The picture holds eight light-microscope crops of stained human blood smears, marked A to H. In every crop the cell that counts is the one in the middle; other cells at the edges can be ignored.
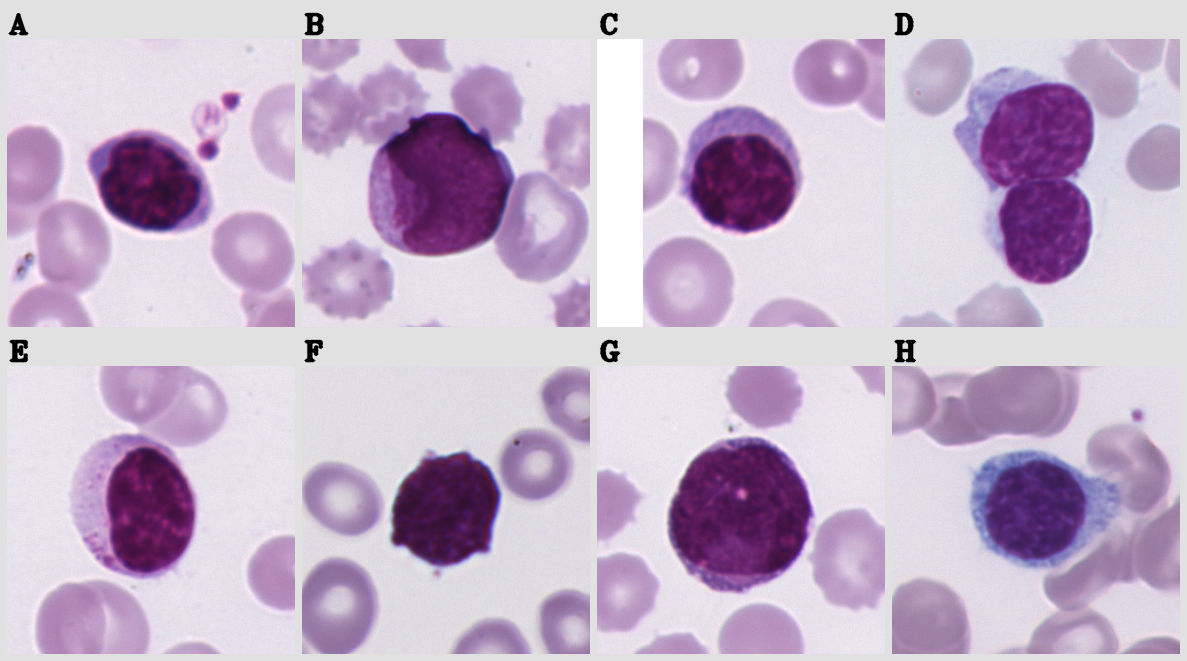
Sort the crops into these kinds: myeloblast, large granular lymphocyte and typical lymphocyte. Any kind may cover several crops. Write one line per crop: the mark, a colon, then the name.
A: typical lymphocyte
B: myeloblast
C: typical lymphocyte
D: myeloblast
E: large granular lymphocyte
F: myeloblast
G: myeloblast
H: typical lymphocyte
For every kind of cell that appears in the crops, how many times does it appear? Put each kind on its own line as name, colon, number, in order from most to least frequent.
myeloblast: 4
typical lymphocyte: 3
large granular lymphocyte: 1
